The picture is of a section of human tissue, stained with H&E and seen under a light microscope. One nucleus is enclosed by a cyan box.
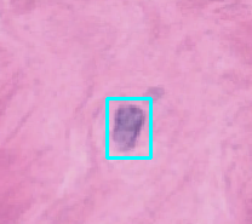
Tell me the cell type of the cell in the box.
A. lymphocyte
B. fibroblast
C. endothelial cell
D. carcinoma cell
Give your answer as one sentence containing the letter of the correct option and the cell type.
Option B is right in classifying the cell in the box as a fibroblast.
